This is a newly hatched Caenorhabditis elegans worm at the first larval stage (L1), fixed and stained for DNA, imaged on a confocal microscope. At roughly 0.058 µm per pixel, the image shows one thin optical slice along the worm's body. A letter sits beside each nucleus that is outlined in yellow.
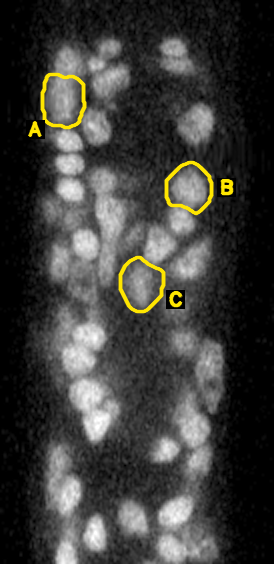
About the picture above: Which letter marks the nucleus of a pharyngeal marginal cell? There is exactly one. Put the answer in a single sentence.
The one from a pharyngeal marginal cell is C.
